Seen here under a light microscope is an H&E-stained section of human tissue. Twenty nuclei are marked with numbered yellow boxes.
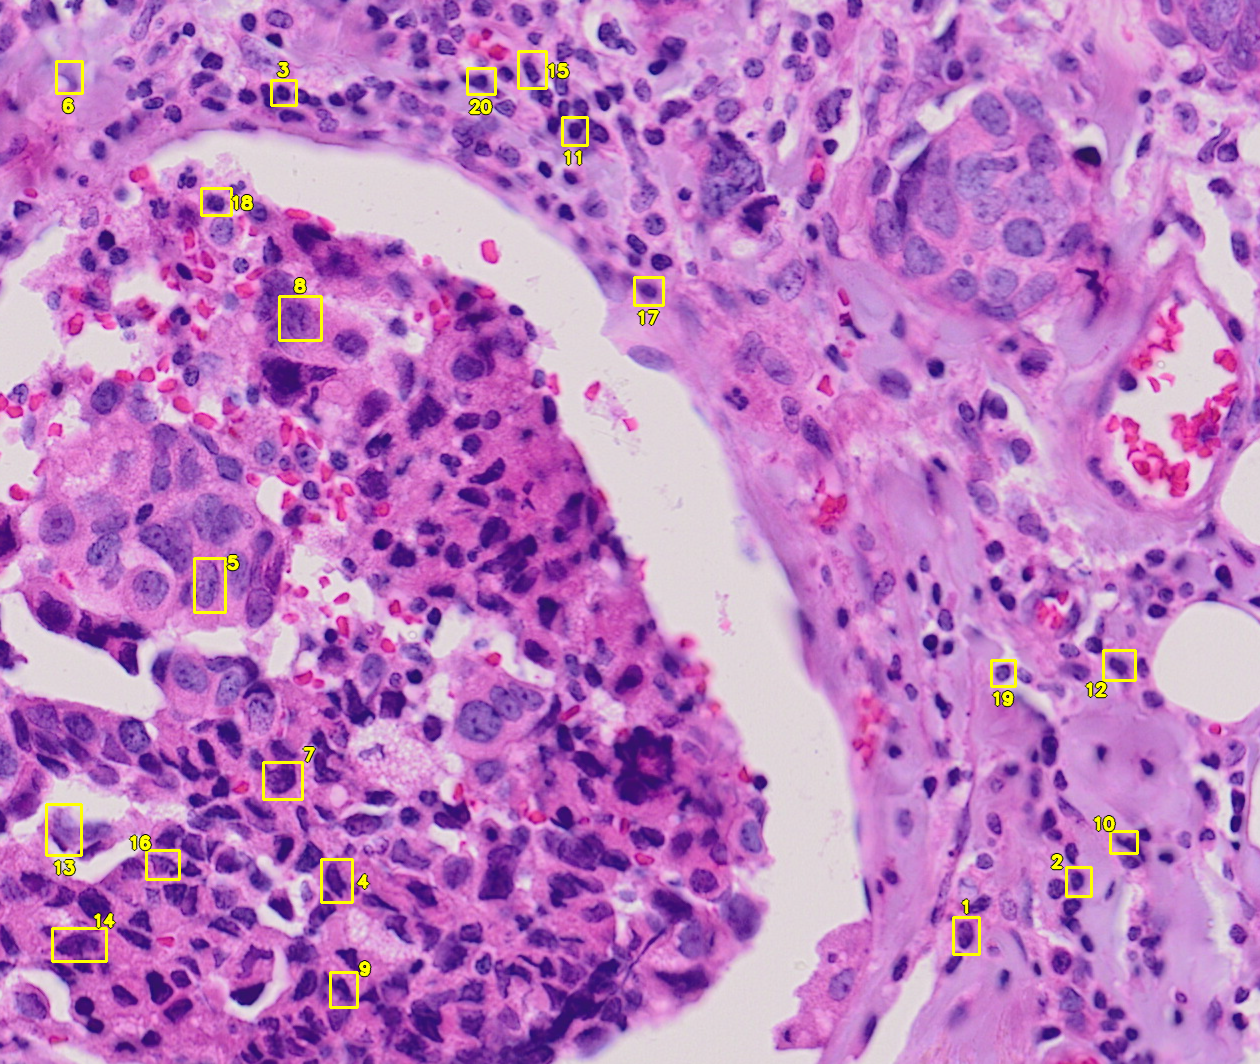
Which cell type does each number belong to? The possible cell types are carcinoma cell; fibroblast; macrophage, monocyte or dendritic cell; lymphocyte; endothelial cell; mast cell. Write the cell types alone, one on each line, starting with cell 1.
lymphocyte
lymphocyte
lymphocyte
carcinoma cell
carcinoma cell
fibroblast
carcinoma cell
carcinoma cell
carcinoma cell
lymphocyte
lymphocyte
lymphocyte
carcinoma cell
carcinoma cell
lymphocyte
carcinoma cell
lymphocyte
lymphocyte
lymphocyte
lymphocyte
